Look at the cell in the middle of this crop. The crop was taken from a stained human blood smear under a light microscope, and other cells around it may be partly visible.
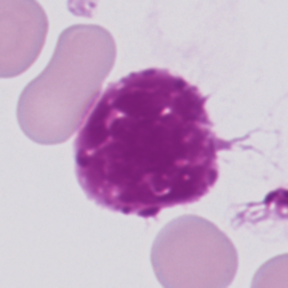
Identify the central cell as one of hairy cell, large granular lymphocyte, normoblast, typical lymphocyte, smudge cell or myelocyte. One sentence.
The cell at the central position in this crop is a smudge cell.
